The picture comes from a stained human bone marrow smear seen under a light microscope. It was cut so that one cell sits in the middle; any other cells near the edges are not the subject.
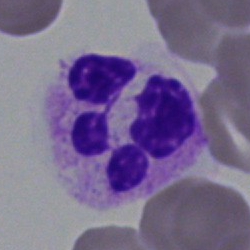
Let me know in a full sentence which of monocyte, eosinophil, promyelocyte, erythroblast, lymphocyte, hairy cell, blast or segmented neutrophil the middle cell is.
The central cell in this smear crop is a segmented neutrophil.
